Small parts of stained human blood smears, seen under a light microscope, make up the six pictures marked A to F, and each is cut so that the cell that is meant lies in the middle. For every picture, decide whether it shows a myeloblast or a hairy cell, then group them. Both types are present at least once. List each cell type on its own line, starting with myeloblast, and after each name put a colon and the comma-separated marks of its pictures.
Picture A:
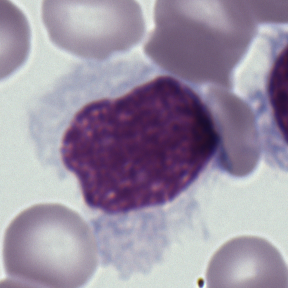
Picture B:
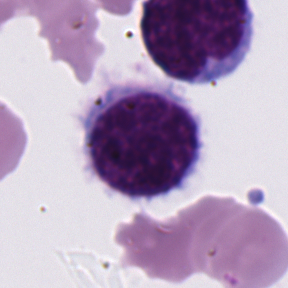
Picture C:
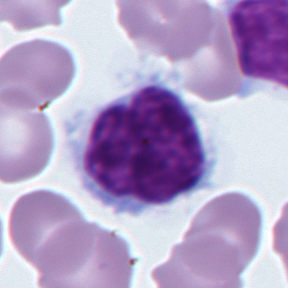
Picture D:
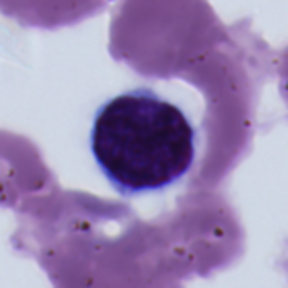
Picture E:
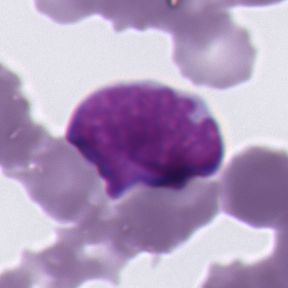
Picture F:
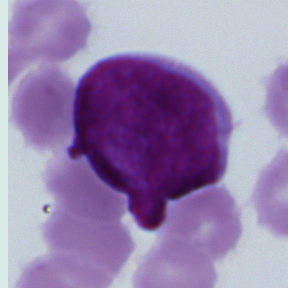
myeloblast: E, F
hairy cell: A, B, C, D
